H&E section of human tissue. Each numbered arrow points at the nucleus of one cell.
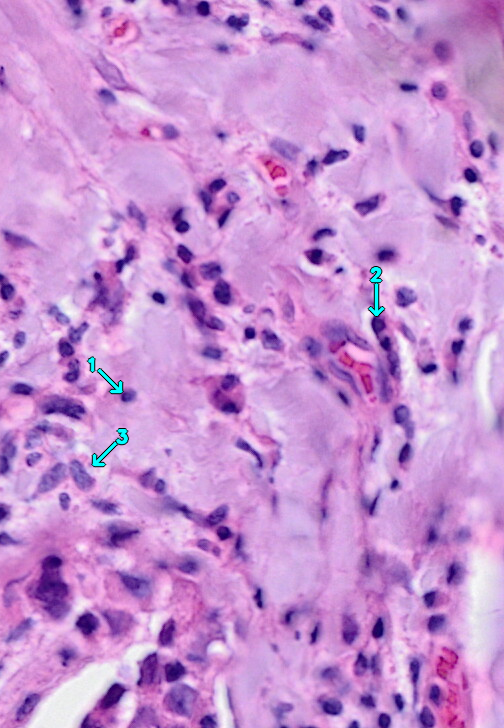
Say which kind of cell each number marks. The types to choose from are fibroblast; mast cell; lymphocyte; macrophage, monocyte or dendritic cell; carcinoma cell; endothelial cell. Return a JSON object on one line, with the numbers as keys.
{"1": "lymphocyte", "2": "lymphocyte", "3": "mast cell"}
